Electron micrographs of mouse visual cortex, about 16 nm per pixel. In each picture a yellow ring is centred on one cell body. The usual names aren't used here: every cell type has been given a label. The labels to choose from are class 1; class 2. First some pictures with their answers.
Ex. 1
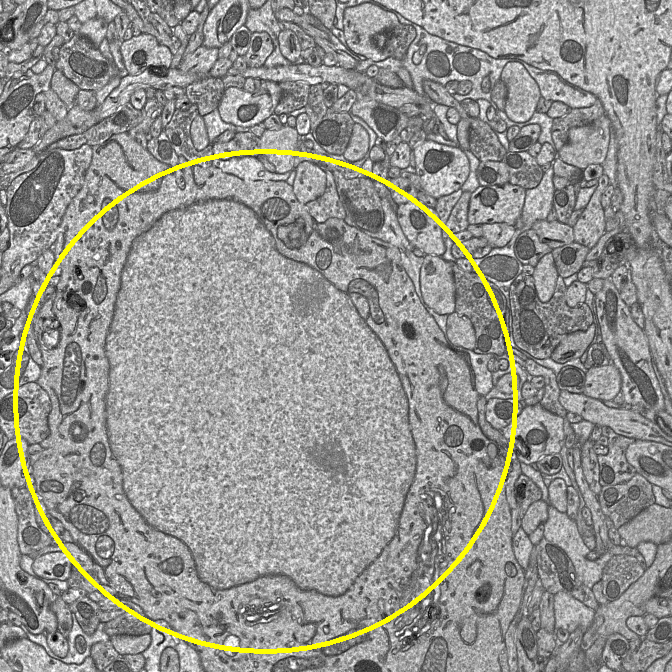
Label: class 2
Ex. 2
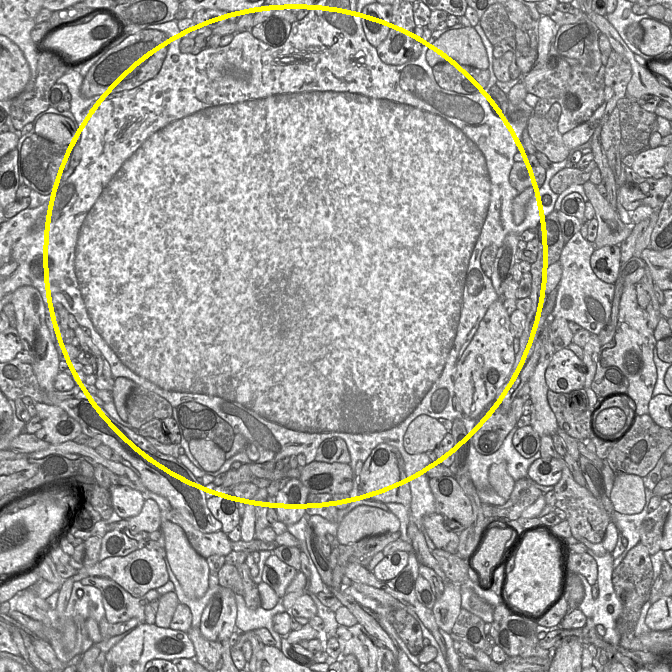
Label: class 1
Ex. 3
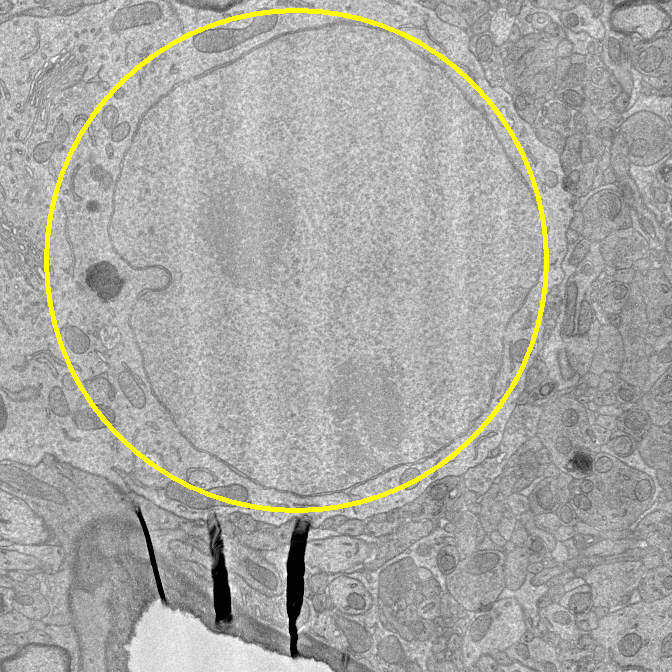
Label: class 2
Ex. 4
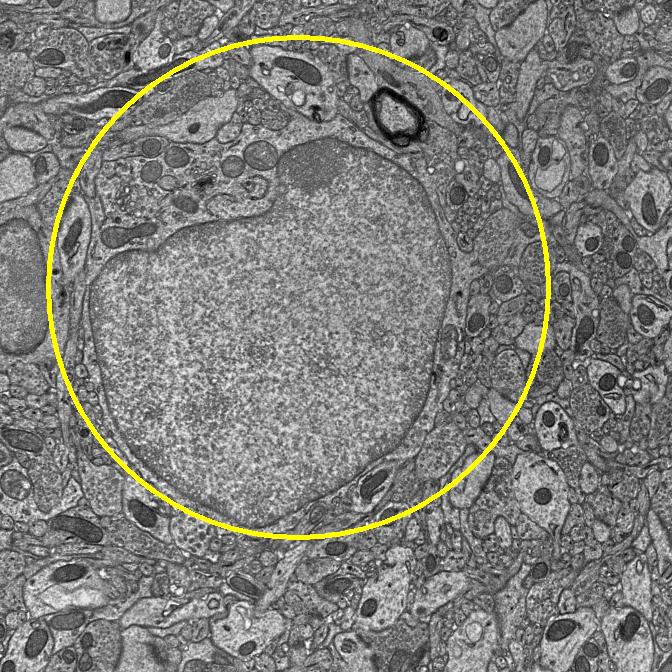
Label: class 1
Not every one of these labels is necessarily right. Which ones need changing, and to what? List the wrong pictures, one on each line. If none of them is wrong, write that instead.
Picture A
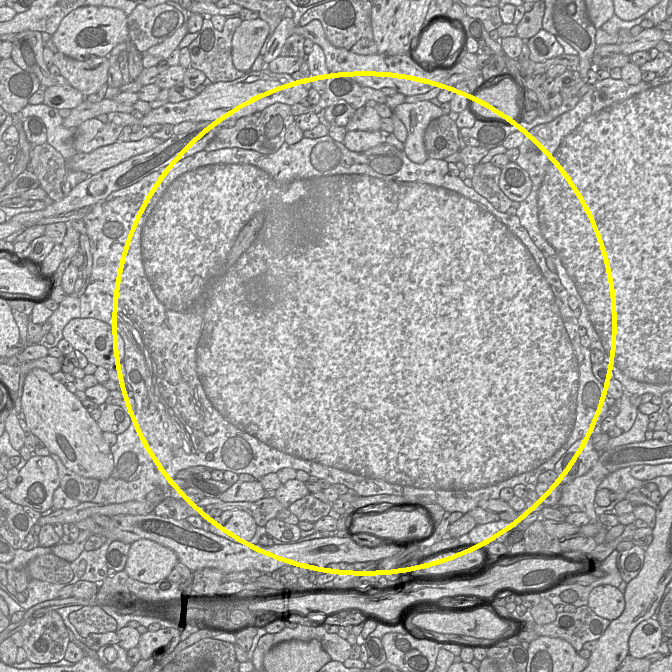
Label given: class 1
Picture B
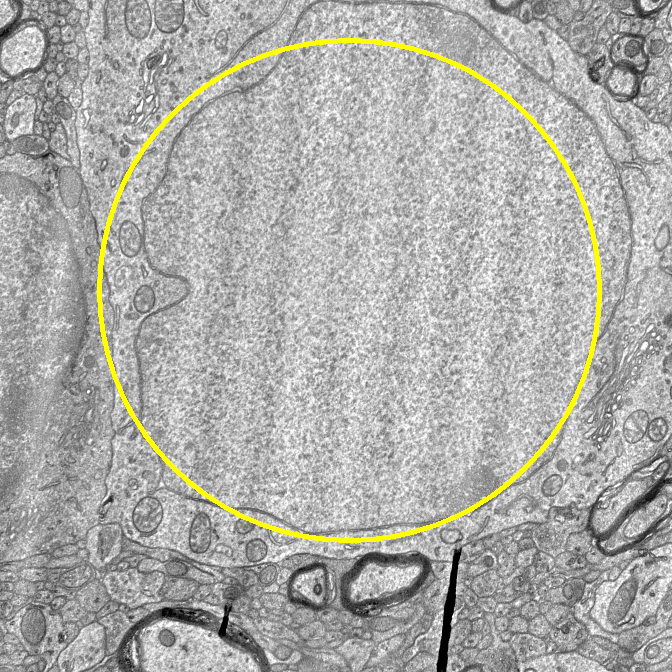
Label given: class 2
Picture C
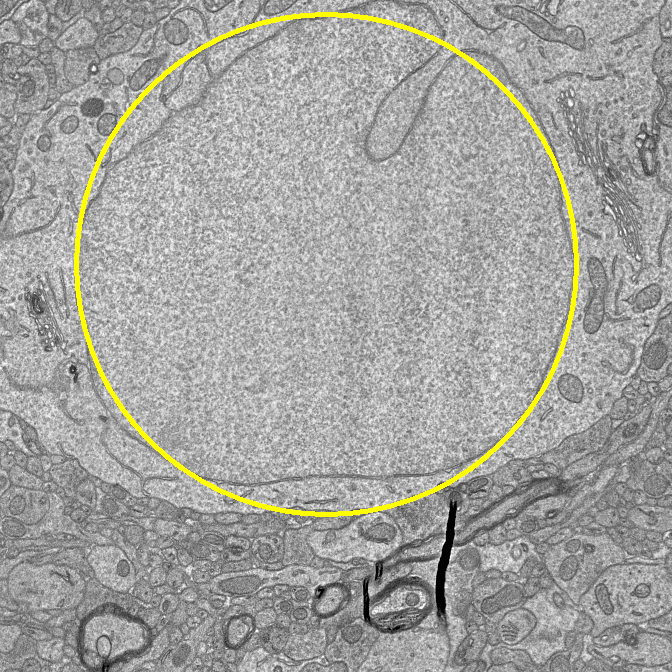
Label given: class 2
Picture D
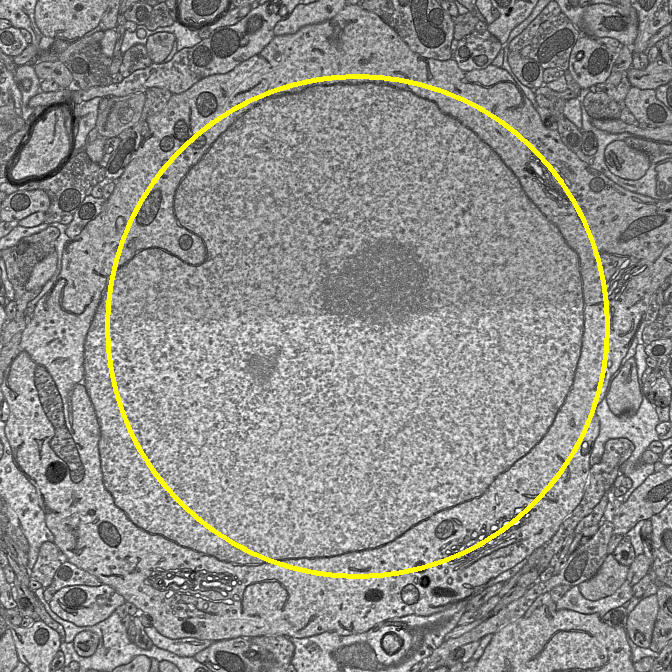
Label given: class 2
All labels are correct.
